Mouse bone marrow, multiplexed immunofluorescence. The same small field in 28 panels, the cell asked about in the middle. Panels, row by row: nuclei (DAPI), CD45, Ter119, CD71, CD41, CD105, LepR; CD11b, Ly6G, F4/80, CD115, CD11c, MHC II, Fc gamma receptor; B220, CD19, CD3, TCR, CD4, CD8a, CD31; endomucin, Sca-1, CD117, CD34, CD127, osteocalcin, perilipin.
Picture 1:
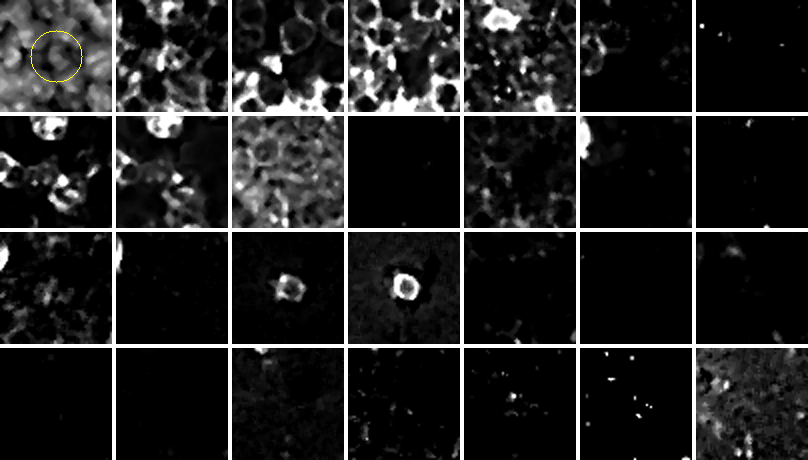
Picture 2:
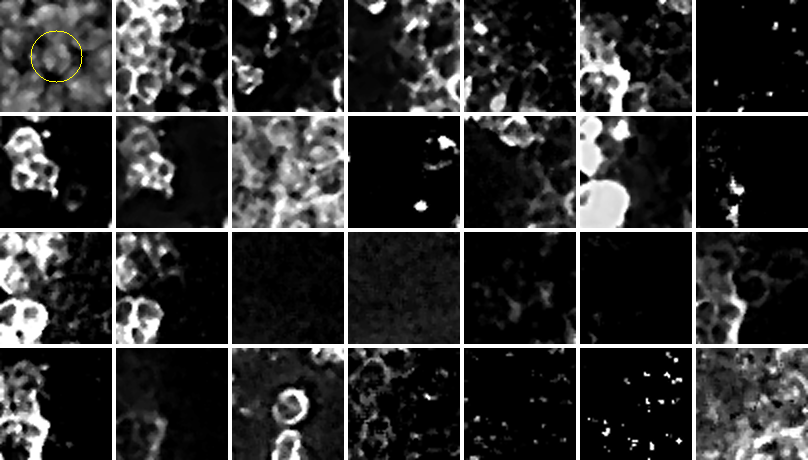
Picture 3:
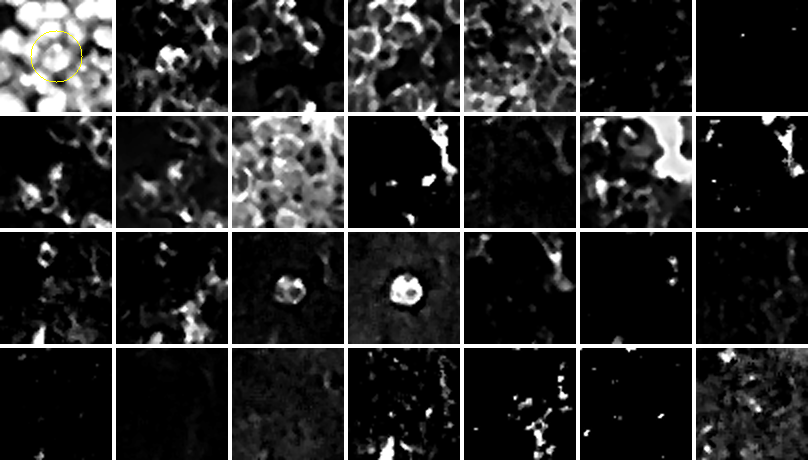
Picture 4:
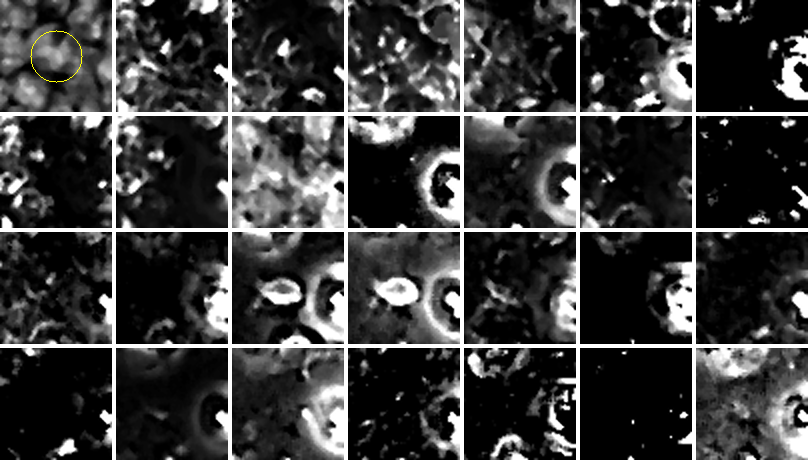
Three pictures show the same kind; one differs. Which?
Picture 2: an erythroid progenitor (CFU-E), while the others are double-negative T cells.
